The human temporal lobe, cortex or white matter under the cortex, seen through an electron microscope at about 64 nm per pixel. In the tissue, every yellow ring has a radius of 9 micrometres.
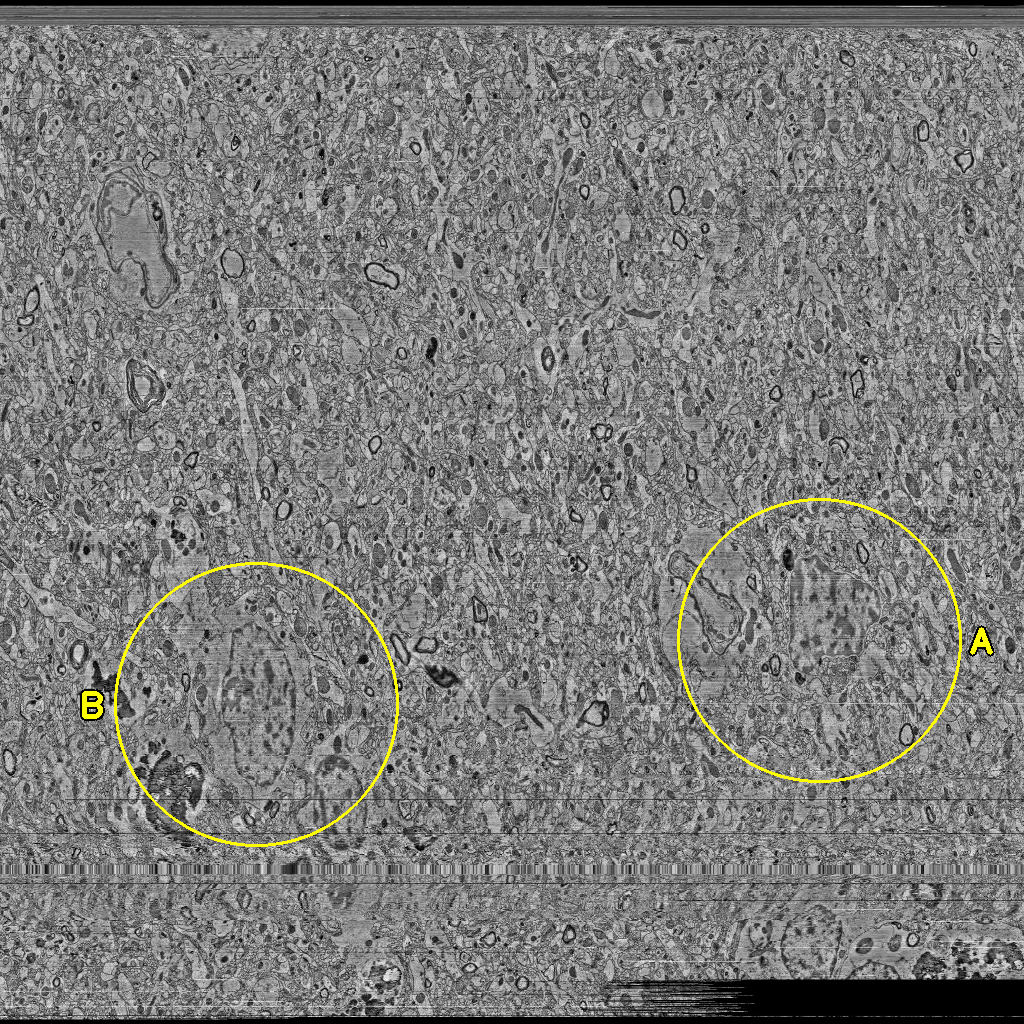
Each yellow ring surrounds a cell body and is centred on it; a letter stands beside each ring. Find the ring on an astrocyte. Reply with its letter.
B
